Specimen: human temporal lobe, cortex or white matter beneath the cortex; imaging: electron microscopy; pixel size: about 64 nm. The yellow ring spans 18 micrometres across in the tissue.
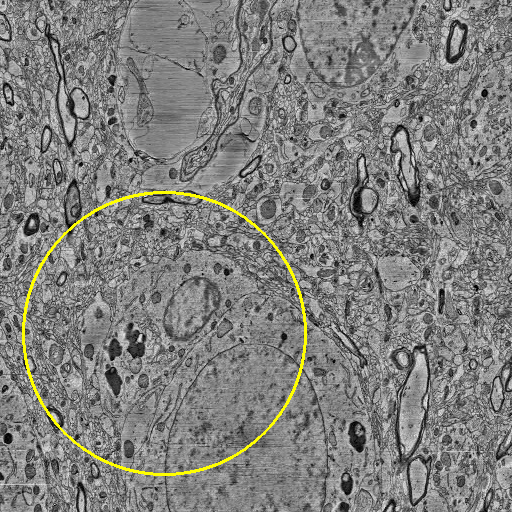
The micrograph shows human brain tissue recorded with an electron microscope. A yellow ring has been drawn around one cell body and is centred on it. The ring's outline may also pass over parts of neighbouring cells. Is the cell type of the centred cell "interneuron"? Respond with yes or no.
yes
